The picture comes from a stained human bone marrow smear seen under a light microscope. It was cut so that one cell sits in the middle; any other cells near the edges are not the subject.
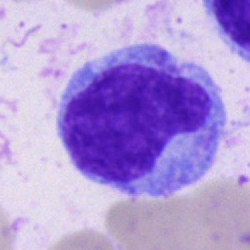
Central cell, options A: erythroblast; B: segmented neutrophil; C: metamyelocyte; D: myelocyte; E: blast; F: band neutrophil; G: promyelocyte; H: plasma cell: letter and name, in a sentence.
This one is option H, since the cell at the center is a plasma cell.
